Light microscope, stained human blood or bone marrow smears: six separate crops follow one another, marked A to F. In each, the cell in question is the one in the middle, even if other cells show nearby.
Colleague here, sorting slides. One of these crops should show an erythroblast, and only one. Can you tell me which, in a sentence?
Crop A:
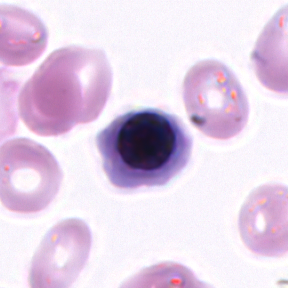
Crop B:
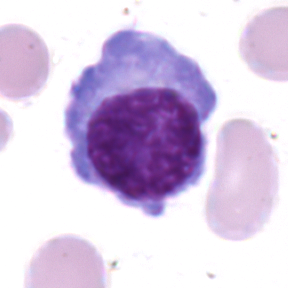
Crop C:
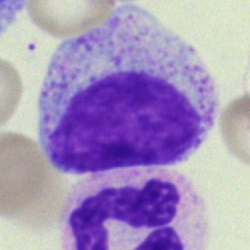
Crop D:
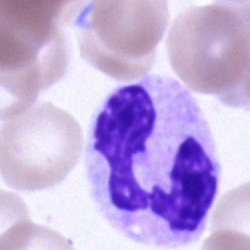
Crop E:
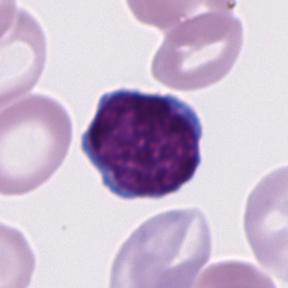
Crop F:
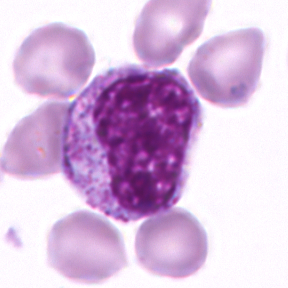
Crop A is the crop that shows an erythroblast in its middle.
